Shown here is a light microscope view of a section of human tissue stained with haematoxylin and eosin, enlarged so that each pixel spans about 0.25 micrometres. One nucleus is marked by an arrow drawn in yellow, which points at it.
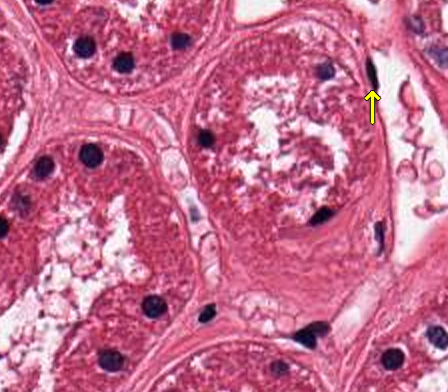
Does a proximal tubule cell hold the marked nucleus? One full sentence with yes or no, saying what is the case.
No, not to a proximal tubule cell does the marked nucleus belong, but to a supporting cell.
